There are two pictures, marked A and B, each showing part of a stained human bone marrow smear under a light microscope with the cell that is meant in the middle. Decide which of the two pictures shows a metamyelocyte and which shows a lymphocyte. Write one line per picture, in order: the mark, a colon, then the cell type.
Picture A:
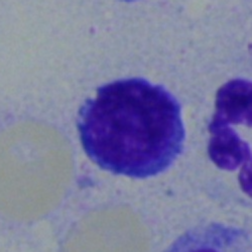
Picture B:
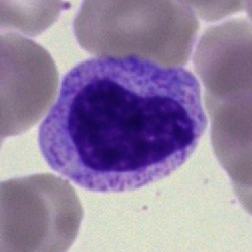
A: lymphocyte
B: metamyelocyte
